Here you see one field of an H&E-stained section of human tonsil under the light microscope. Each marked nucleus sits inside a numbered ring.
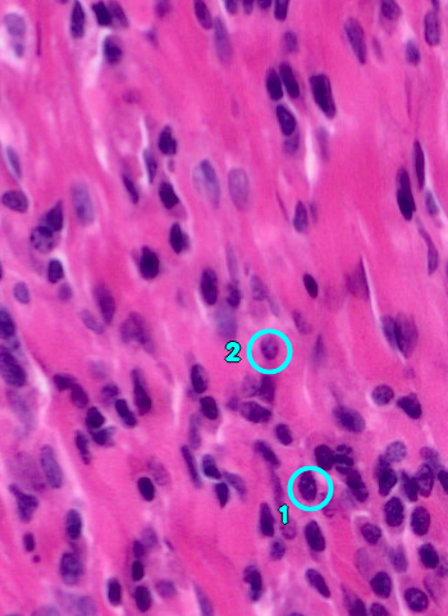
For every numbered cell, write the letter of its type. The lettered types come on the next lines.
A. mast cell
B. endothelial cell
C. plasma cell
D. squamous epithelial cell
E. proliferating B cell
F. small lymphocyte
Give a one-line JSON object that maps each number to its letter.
{"1": "C", "2": "A"}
